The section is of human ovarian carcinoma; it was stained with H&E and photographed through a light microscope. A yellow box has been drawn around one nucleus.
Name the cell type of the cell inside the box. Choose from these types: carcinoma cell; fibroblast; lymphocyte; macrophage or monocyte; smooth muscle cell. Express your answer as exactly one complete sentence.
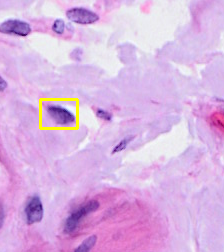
With respect to cell type, the cell inside the box is a fibroblast.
